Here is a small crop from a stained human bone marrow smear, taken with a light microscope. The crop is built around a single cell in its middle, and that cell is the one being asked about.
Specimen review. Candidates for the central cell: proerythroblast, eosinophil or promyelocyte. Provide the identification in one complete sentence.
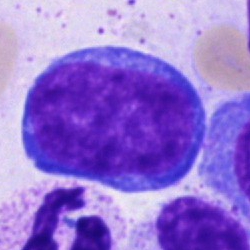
The cell that lies at the centre of the crop is a proerythroblast.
